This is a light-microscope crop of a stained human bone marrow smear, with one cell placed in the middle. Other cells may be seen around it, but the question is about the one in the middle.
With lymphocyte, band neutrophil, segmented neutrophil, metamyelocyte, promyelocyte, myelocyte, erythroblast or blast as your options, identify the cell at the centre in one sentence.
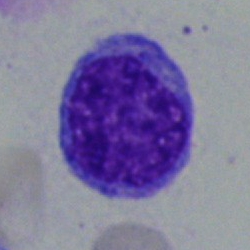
In short, the cell at the center is a blast.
